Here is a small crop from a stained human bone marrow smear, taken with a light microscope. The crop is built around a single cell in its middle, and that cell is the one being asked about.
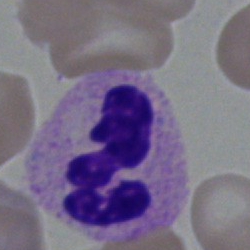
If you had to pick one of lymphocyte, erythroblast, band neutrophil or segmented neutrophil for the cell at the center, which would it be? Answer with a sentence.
The cell sitting right in the middle is a segmented neutrophil.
